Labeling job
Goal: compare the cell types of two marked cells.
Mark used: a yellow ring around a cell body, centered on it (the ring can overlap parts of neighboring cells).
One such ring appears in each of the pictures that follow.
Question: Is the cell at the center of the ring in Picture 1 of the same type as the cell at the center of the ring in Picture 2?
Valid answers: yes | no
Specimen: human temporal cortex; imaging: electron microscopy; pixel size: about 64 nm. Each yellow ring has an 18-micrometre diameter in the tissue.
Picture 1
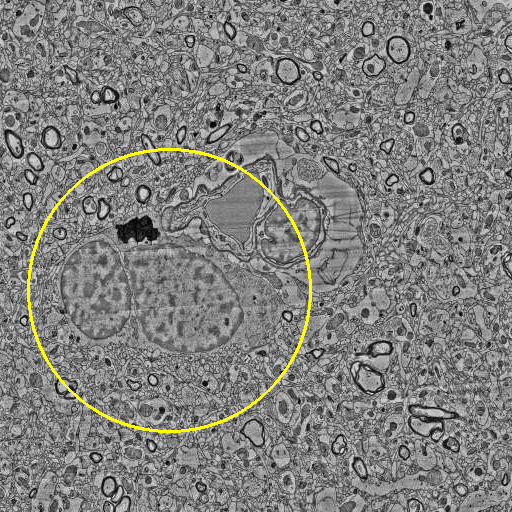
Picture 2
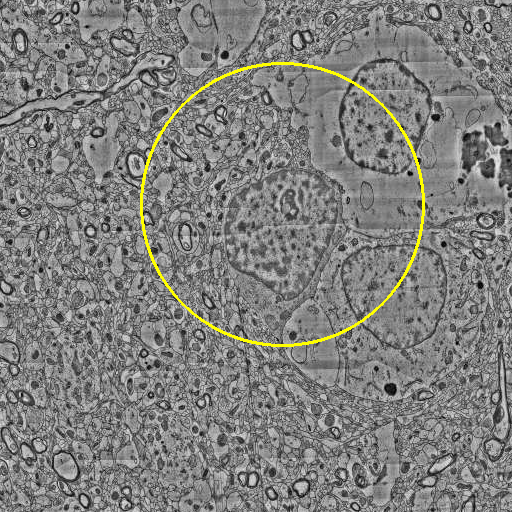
yes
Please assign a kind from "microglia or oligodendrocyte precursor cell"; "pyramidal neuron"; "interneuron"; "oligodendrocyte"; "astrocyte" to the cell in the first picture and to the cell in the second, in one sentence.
In each picture the ringed cell is an oligodendrocyte.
